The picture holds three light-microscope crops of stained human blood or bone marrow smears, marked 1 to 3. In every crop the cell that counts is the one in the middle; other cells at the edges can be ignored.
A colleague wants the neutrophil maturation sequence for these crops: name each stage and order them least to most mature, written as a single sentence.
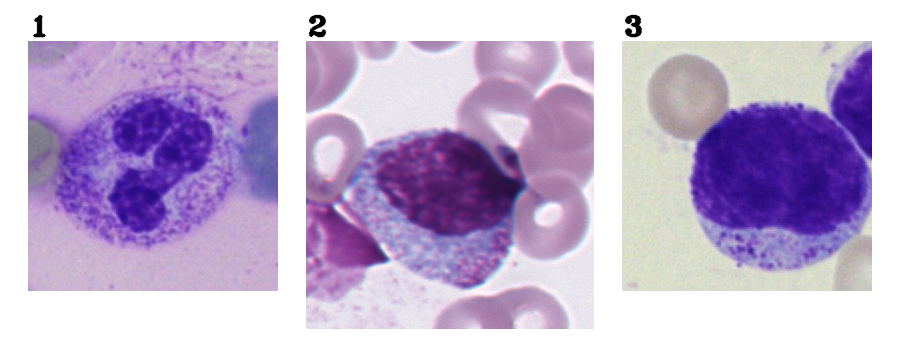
The sequence of maturity, beginning with the least mature, runs crop 2 (a promyelocyte), crop 3 (a myelocyte) and crop 1 (a segmented neutrophil).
